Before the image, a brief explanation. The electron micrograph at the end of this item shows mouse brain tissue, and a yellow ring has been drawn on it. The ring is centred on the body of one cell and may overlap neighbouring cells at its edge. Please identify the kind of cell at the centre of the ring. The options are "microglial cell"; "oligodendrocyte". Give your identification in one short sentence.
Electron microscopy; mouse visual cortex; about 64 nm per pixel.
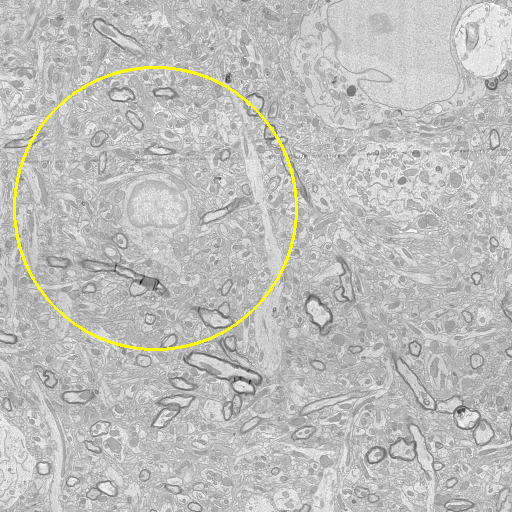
The ring has been placed around an oligodendrocyte.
